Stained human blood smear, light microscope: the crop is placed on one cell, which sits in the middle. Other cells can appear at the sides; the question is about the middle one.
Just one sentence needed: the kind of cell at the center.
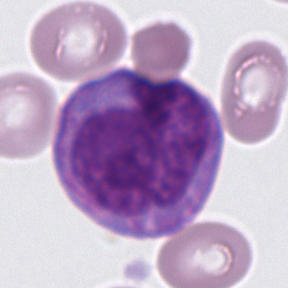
The central element of this crop is a cell, namely an atypical promyelocyte.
